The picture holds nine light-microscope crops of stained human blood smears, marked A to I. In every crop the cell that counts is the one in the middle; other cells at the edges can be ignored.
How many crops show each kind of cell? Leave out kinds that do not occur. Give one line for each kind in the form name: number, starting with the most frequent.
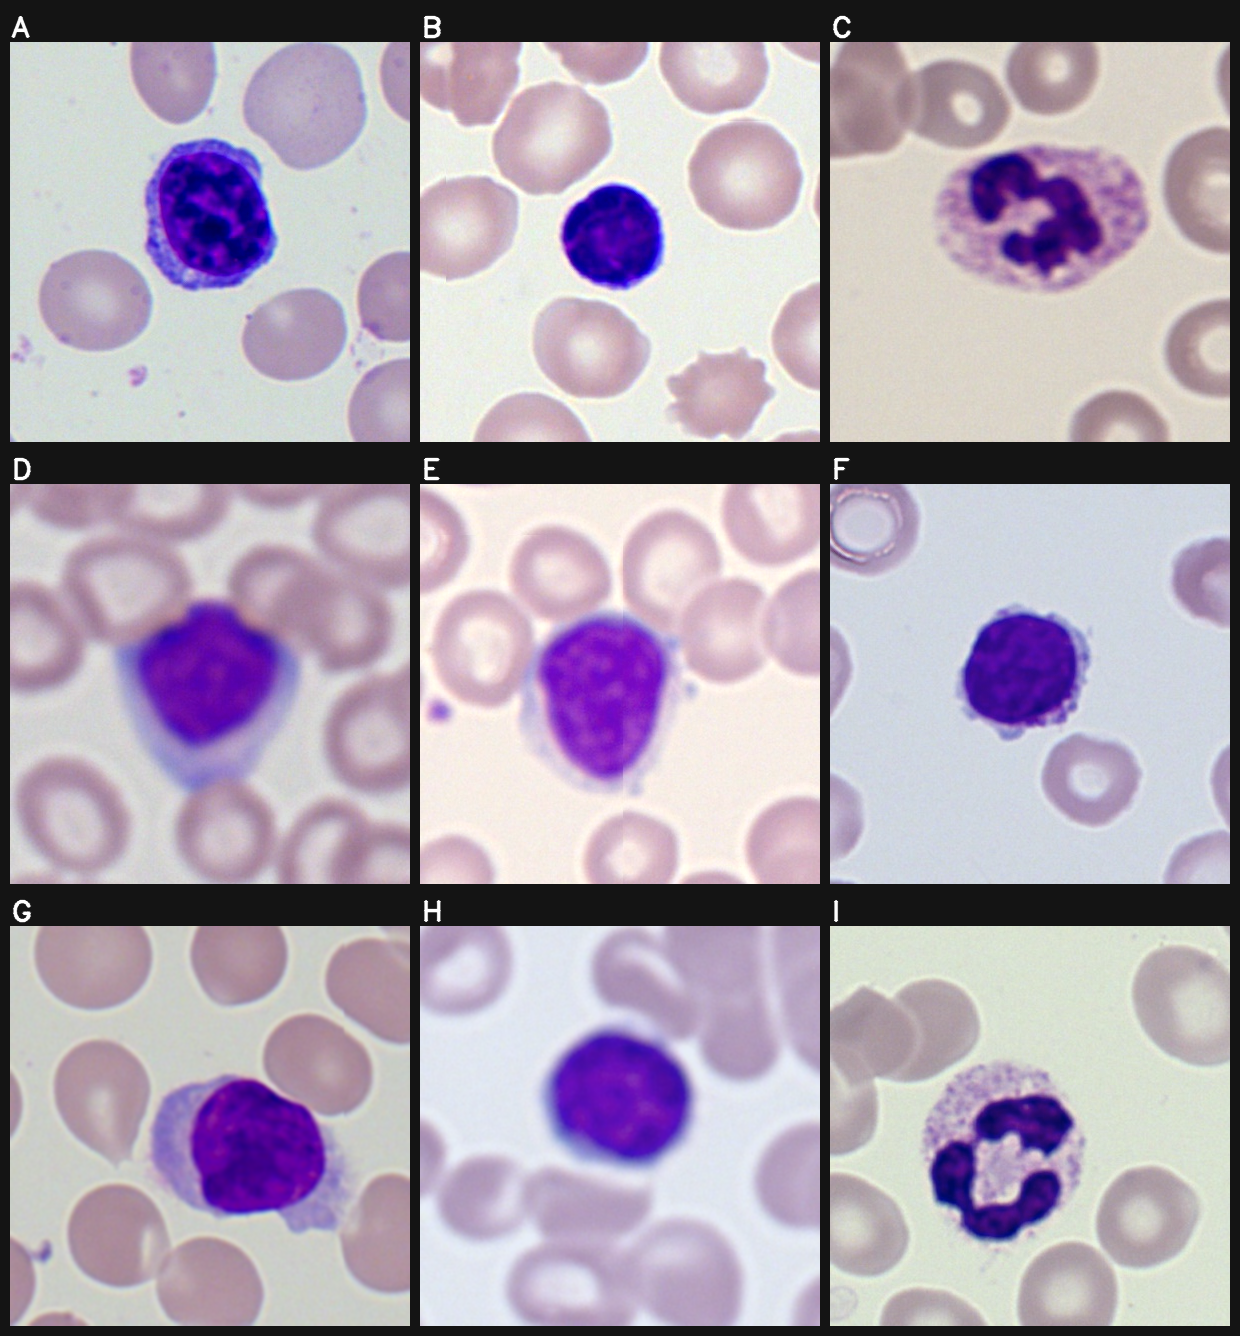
lymphocyte: 7
neutrophil: 2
